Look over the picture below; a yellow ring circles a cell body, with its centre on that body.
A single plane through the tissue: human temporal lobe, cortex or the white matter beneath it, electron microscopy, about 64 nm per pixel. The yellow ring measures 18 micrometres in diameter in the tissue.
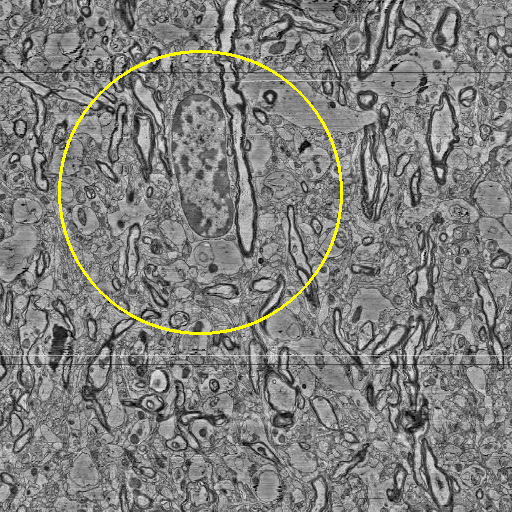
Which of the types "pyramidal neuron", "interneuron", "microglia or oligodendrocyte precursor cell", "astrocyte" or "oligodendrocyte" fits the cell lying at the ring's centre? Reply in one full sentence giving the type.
The picture shows a microglial cell or oligodendrocyte precursor cell at the centre of the yellow ring.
